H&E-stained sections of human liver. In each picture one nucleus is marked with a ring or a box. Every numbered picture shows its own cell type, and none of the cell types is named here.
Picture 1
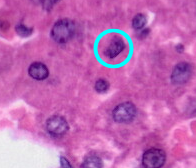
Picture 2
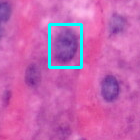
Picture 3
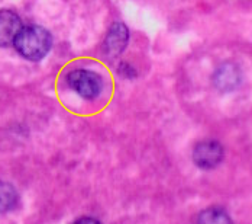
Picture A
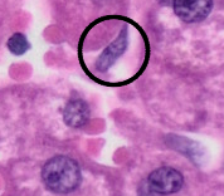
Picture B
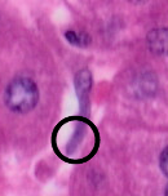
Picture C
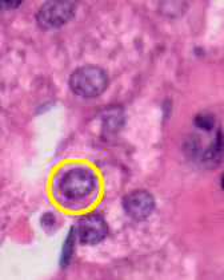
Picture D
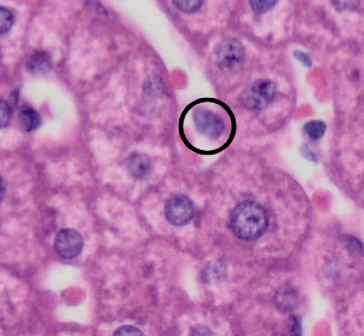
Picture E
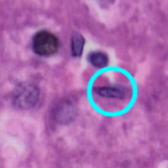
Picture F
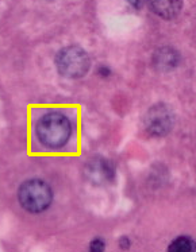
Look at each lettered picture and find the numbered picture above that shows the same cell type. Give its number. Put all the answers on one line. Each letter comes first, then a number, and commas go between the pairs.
A 3, B 3, C 2, D 3, E 1, F 2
